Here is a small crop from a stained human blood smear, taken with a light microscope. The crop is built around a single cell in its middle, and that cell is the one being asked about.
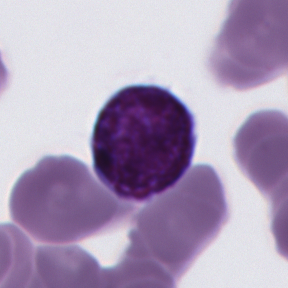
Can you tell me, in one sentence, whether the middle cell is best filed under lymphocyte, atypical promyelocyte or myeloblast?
This crop is built around a myeloblast at its centre.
